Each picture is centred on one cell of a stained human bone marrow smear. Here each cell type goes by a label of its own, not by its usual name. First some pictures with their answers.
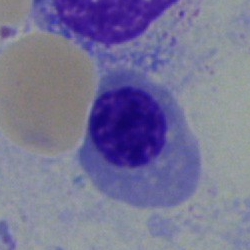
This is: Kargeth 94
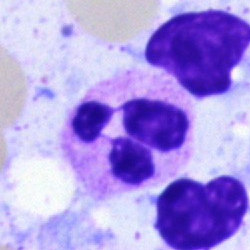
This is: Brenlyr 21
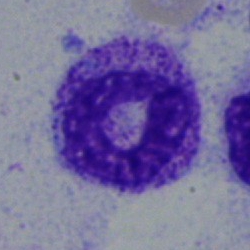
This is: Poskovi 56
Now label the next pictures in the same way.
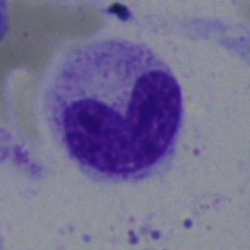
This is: Poskovi 56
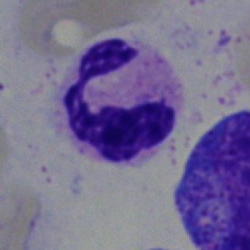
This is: Brenlyr 21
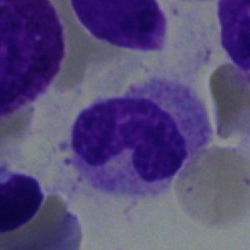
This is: Poskovi 56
